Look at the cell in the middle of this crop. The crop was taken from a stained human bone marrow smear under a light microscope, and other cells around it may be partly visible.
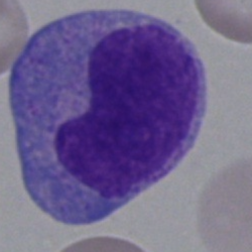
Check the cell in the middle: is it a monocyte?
yes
